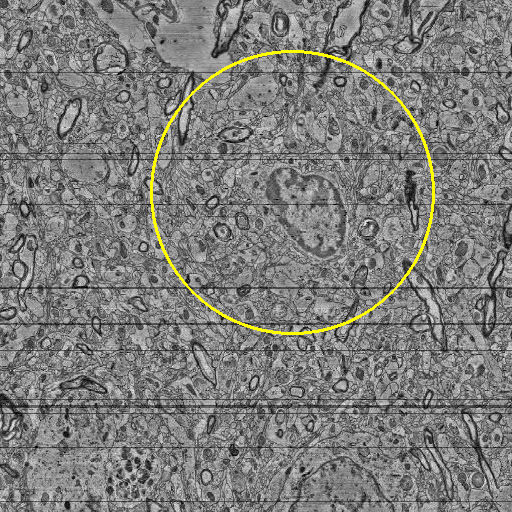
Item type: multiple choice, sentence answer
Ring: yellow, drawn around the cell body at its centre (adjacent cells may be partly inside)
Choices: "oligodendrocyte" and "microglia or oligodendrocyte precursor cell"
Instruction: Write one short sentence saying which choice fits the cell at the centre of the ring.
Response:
This ring is drawn around a microglial cell or oligodendrocyte precursor cell.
